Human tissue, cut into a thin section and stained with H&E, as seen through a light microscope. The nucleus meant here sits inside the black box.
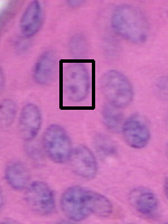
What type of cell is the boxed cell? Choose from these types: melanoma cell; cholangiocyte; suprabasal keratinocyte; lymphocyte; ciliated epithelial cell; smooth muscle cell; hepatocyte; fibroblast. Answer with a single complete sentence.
So far as cell type goes, the boxed cell is a suprabasal keratinocyte.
